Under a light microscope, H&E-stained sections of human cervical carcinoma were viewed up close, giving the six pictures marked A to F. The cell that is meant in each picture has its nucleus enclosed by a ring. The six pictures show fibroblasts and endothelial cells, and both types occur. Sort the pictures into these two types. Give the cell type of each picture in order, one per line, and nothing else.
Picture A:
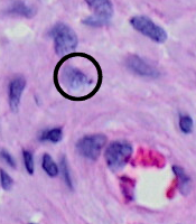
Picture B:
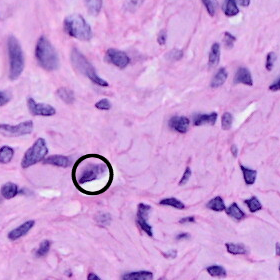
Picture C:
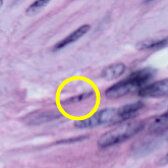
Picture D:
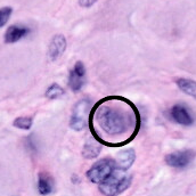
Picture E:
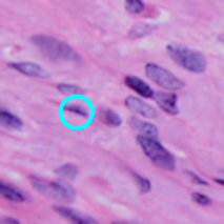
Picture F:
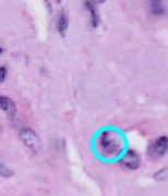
fibroblast
endothelial cell
endothelial cell
endothelial cell
fibroblast
endothelial cell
